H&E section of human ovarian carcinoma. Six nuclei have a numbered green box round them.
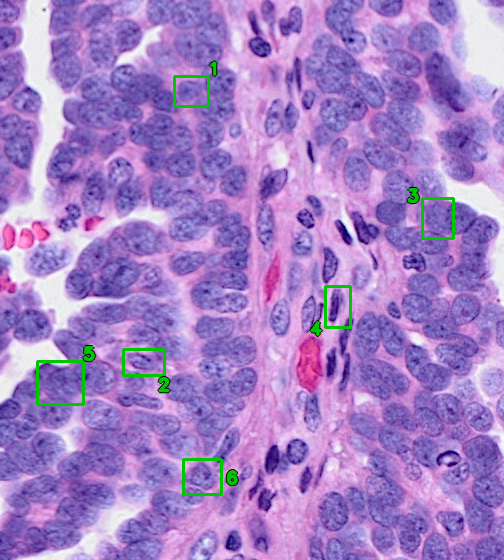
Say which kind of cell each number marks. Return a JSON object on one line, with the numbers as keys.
{"1": "carcinoma cell", "2": "macrophage or monocyte", "3": "carcinoma cell", "4": "fibroblast", "5": "carcinoma cell", "6": "carcinoma cell"}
